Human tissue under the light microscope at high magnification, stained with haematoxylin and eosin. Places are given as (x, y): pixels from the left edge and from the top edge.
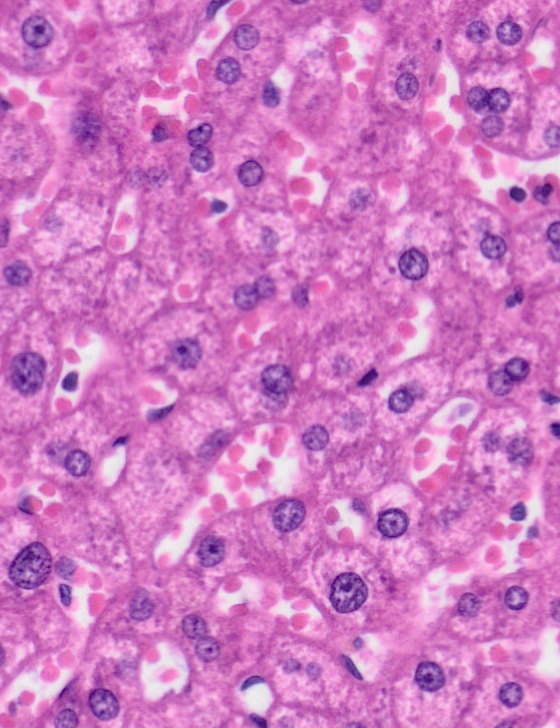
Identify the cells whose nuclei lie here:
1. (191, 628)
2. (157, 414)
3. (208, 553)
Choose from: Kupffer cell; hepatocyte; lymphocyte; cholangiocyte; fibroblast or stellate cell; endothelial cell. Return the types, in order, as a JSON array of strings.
["hepatocyte", "endothelial cell", "hepatocyte"]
